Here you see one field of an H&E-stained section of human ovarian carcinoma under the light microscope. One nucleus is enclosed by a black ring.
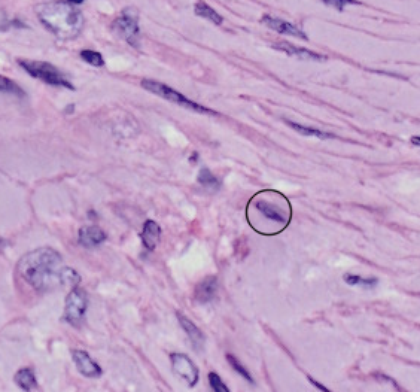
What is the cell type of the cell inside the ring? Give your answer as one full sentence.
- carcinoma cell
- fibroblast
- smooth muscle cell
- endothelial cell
The cell inside the ring appears to be a fibroblast.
